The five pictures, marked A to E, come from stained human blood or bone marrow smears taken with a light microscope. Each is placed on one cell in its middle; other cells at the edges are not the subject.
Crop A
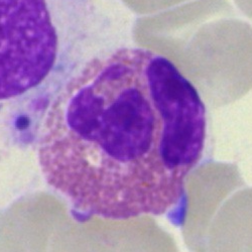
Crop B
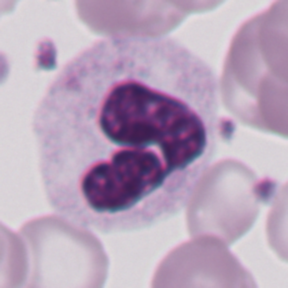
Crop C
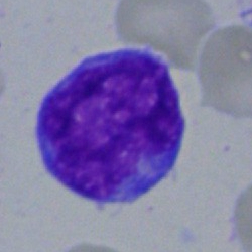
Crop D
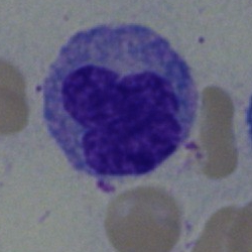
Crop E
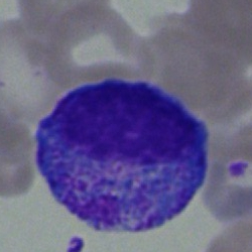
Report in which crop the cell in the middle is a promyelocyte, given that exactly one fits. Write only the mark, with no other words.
E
